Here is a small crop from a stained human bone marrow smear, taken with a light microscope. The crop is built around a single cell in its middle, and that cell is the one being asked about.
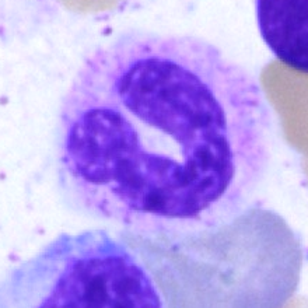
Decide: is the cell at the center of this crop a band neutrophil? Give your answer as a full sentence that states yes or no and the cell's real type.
Yes, the one cell at the centre is a band neutrophil.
